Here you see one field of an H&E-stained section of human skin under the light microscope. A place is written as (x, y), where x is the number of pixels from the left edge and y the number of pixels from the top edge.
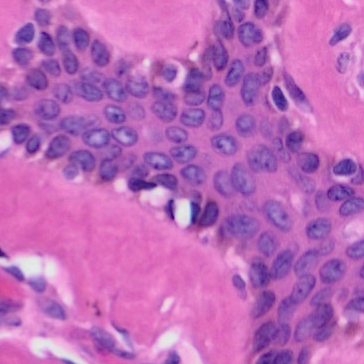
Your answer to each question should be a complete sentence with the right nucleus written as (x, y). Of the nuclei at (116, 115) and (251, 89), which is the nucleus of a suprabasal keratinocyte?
Of the pair, the nucleus located at (116, 115) belongs to a suprabasal keratinocyte.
